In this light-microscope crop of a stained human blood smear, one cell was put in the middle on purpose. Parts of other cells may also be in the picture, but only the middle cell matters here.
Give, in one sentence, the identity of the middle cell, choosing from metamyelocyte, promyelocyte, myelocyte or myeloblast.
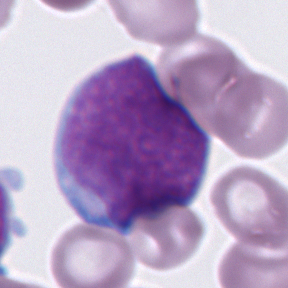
Framed in the middle of the crop is a myeloblast.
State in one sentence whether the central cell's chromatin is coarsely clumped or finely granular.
The key point is fine chromatin with no coarse clumps.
